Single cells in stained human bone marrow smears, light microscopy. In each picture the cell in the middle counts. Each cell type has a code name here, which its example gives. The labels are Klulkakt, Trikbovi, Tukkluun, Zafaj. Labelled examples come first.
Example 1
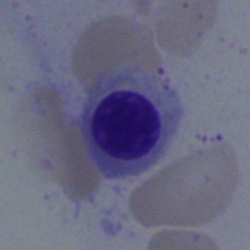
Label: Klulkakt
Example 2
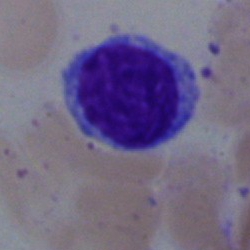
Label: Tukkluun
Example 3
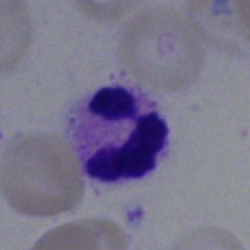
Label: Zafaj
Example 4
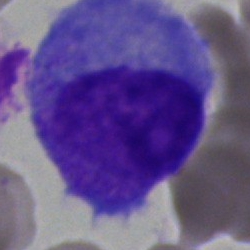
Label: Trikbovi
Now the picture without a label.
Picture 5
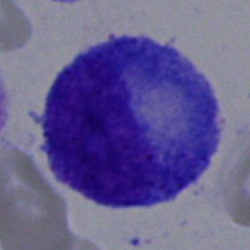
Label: Trikbovi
